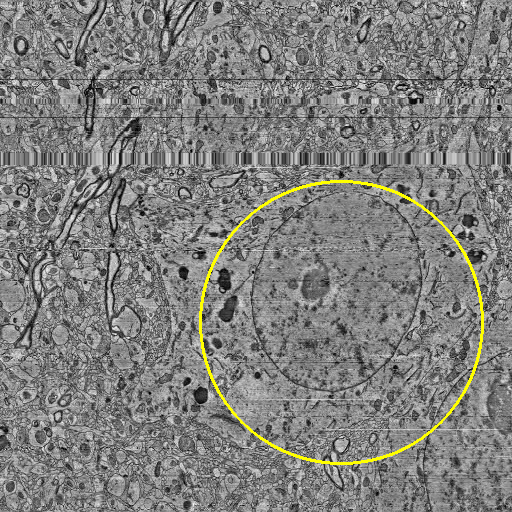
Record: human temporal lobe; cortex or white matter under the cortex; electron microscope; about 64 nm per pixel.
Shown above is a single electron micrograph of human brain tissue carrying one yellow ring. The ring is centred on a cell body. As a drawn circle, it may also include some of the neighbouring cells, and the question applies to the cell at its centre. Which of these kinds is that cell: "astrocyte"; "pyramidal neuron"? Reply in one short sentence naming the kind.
The cell marked by the ring is a pyramidal neuron.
